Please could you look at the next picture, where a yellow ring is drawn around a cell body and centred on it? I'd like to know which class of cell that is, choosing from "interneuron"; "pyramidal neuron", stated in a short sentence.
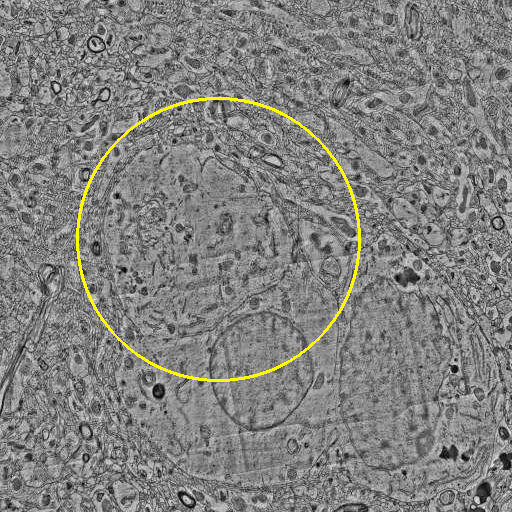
The ring's centre lies on a pyramidal neuron.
